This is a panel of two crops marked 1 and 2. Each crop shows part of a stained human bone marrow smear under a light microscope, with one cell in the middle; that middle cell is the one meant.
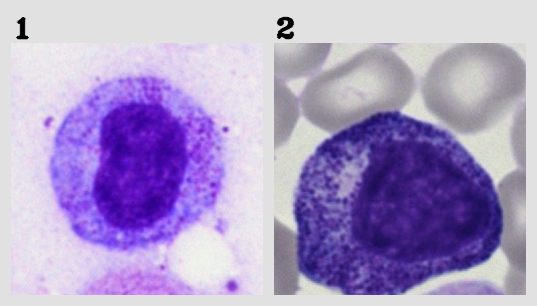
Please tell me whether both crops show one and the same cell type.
no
